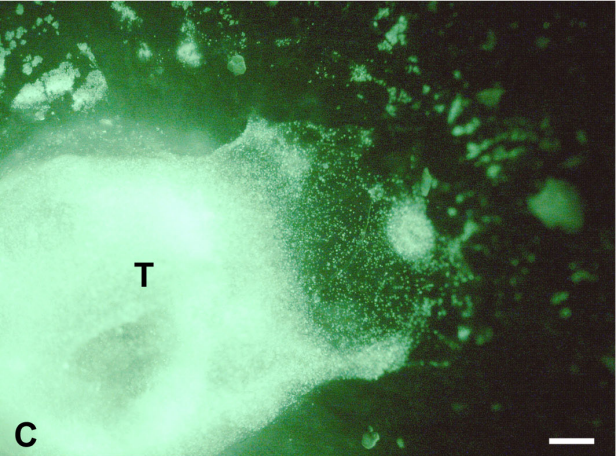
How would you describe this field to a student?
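A large, pale green, solid mass fills the left of the field against a dark background; its margin is not sharp but frays into a haze of fine green dots. To the right, numerous small green dots lie scattered, and here and there they gather into larger bright clumps, some round and some irregular, at some distance from the mass.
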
